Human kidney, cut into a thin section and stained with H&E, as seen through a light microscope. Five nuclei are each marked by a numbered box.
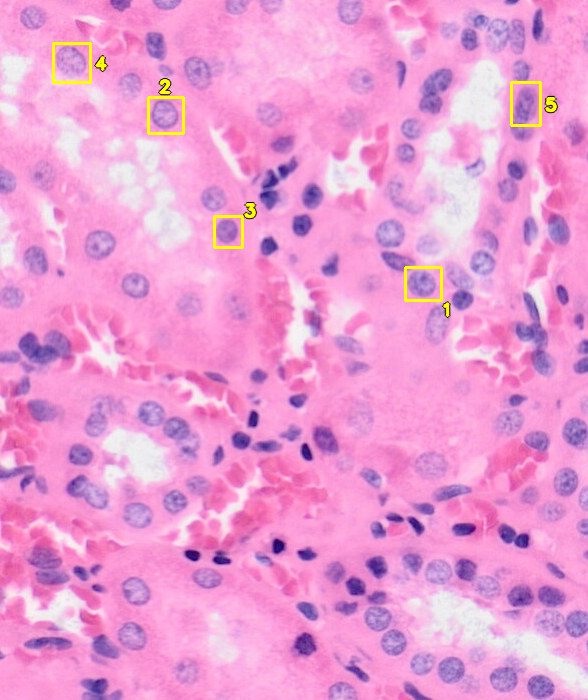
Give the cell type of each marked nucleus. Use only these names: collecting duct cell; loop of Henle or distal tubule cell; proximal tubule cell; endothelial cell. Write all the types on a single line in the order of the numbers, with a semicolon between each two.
collecting duct cell; proximal tubule cell; proximal tubule cell; proximal tubule cell; collecting duct cell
